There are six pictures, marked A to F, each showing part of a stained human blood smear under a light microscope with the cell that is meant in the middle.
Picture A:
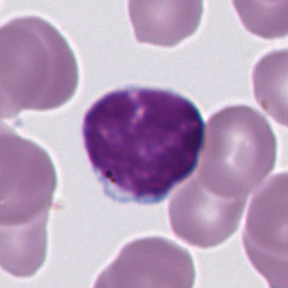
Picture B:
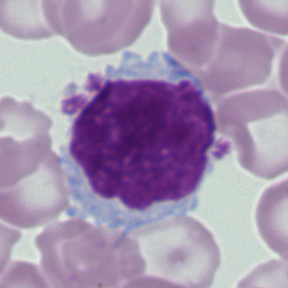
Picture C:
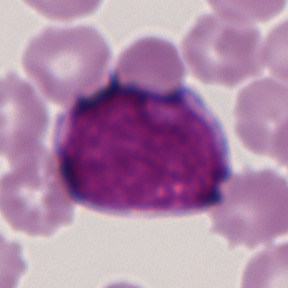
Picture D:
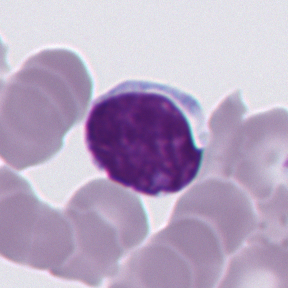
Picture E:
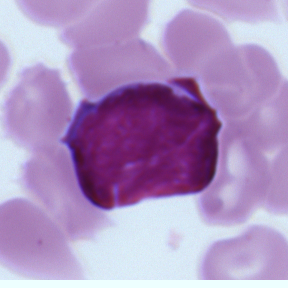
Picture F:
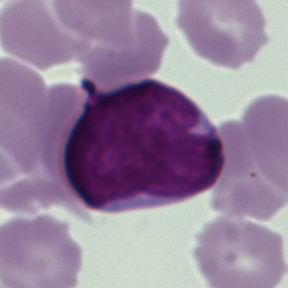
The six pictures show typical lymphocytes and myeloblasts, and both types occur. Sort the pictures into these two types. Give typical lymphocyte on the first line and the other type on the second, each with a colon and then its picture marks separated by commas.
typical lymphocyte: A, B, D
myeloblast: C, E, F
